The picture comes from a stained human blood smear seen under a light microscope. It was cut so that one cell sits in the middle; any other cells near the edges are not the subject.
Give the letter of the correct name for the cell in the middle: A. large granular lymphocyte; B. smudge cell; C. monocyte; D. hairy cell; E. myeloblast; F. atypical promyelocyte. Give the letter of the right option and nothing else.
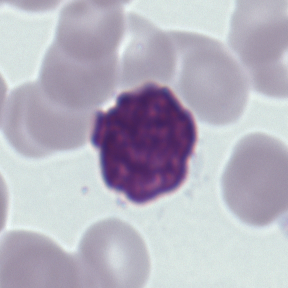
B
